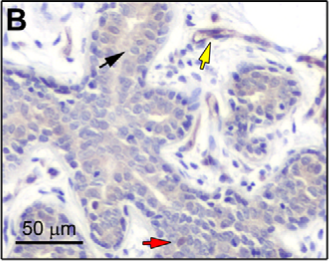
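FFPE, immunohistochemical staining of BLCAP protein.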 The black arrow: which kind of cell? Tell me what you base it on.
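Luminal epithelial cells. The arrow points to cells lining a duct. The cells are cuboidal with round nuclei and faintly brown cytoplasm.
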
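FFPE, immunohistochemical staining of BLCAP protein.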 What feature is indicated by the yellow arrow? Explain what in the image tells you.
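The arrow points to a thin, elongated structure in the loose stroma between epithelial nests. Its wall is lined by flat cells with slender nuclei.
Conclusion: vessel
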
